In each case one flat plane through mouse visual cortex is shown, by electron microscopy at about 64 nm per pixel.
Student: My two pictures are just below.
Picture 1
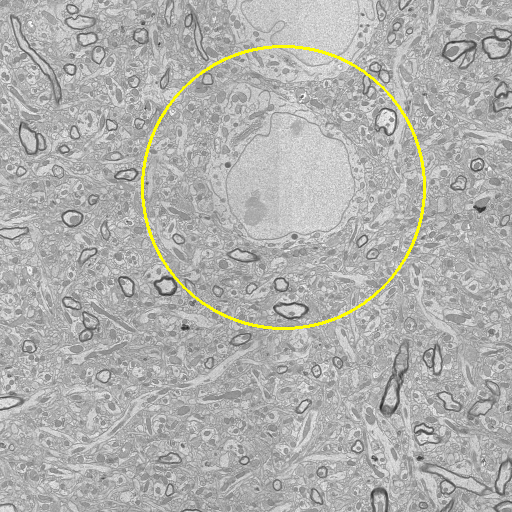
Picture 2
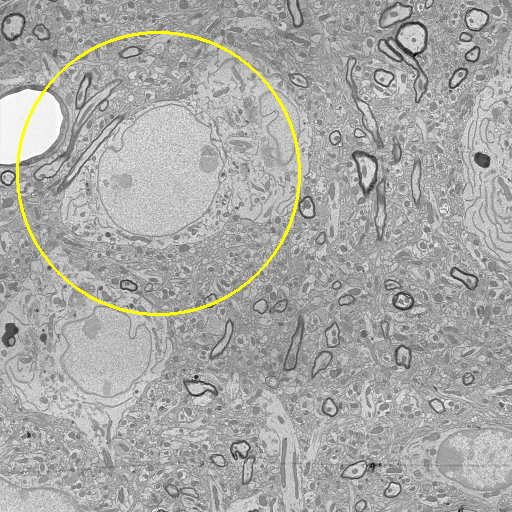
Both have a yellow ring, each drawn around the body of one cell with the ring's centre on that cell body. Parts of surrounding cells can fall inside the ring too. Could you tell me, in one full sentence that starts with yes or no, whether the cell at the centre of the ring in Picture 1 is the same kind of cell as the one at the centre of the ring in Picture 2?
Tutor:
Yes, the two cells are of the same kind.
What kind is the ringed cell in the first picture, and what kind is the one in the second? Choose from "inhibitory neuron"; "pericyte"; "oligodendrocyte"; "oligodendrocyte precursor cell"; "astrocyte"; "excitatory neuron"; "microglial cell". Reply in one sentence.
In the first picture and in the second, the ring is centred on an excitatory neuron.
